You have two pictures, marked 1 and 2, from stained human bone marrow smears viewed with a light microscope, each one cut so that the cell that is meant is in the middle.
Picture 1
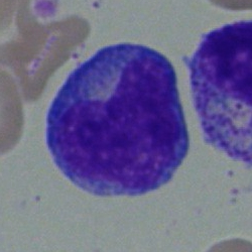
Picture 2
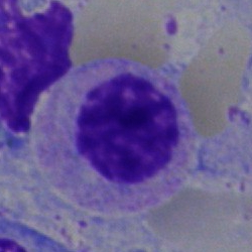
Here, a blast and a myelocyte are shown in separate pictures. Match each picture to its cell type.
1: blast
2: myelocyte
